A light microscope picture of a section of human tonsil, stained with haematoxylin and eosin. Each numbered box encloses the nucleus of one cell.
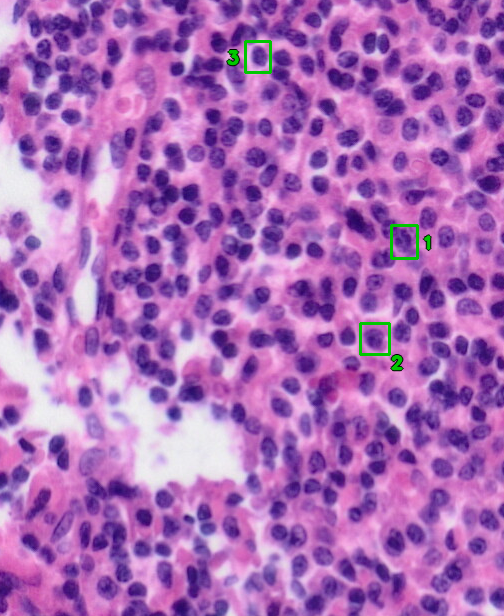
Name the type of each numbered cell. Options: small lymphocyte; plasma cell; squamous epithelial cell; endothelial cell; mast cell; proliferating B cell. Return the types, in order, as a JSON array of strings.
["plasma cell", "plasma cell", "small lymphocyte"]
